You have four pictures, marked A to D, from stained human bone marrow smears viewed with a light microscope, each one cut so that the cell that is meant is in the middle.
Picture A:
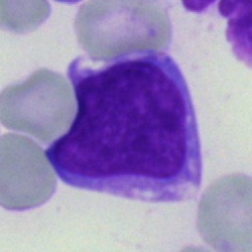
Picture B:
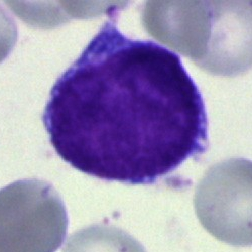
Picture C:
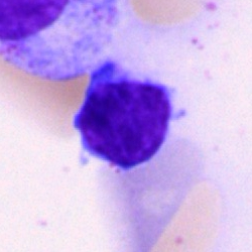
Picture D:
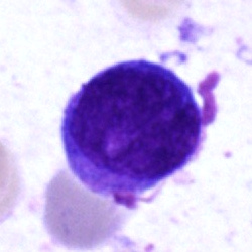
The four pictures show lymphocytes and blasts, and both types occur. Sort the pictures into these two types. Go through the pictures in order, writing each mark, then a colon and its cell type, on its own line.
A: blast
B: blast
C: lymphocyte
D: blast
